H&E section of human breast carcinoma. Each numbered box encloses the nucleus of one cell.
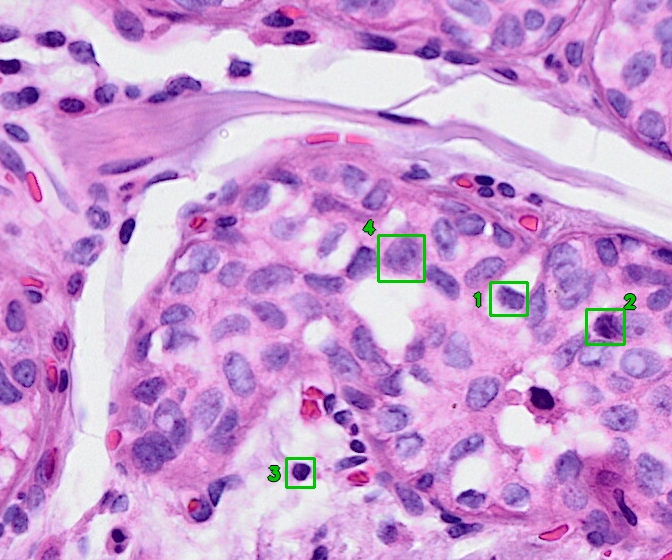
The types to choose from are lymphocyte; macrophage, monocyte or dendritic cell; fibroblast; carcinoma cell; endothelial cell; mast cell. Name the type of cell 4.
carcinoma cell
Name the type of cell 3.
lymphocyte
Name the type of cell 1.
carcinoma cell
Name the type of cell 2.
carcinoma cell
